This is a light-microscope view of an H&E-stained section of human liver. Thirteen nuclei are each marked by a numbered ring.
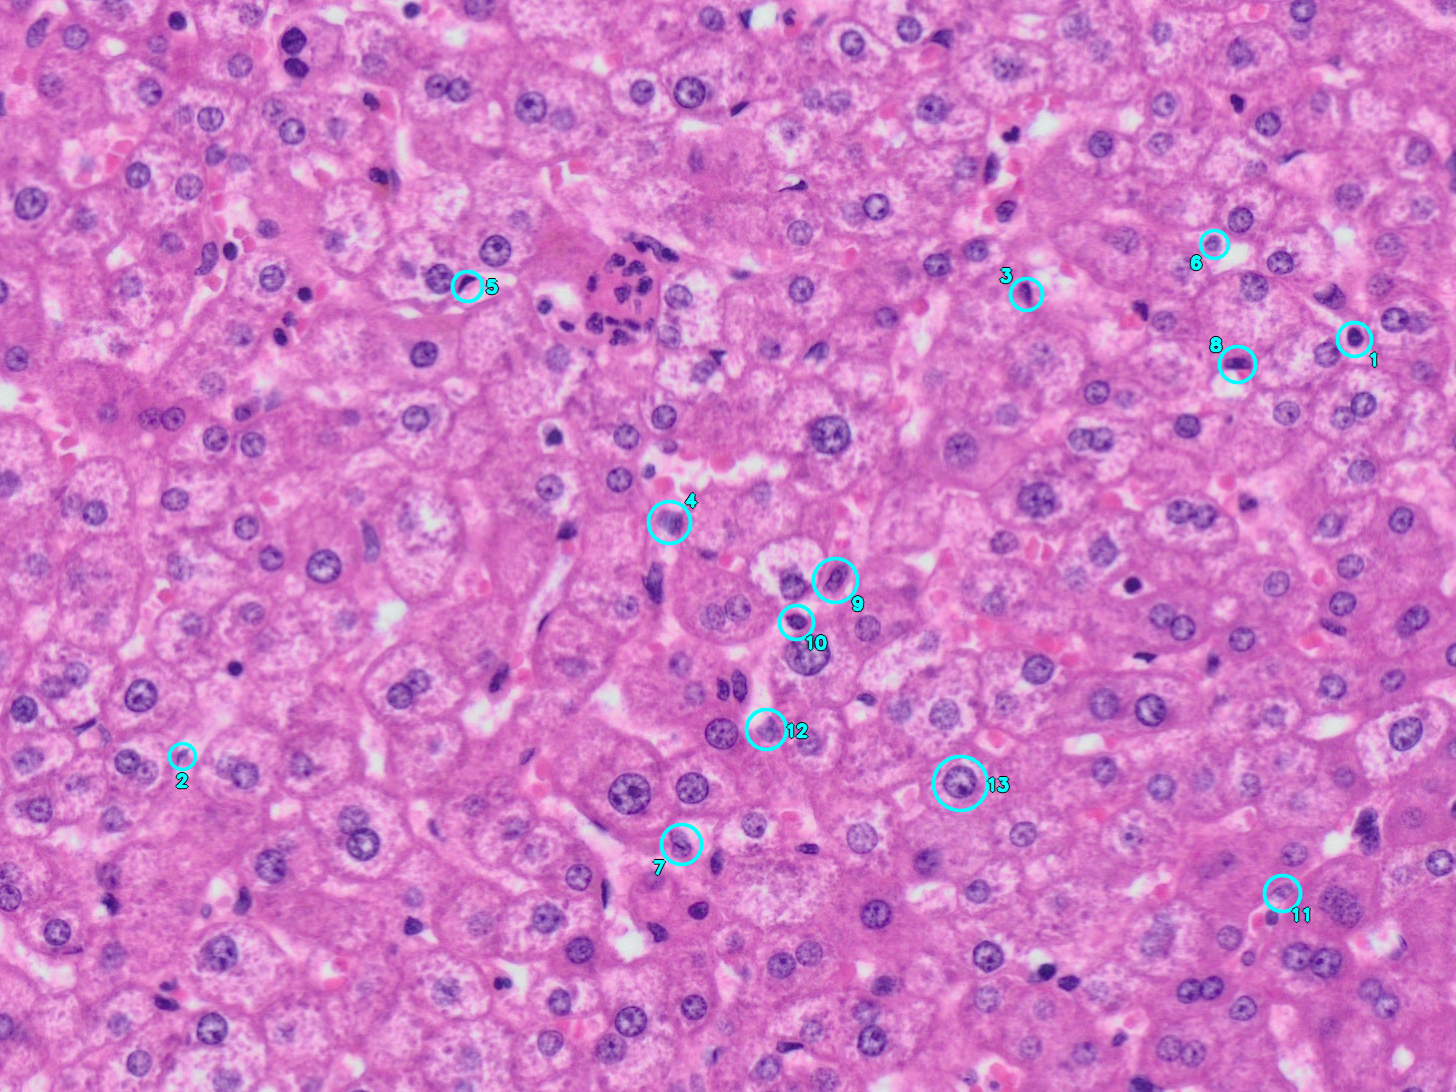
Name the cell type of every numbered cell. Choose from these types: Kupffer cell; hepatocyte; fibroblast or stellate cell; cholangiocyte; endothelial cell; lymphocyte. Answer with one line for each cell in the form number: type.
1: lymphocyte
2: endothelial cell
3: fibroblast or stellate cell
4: endothelial cell
5: endothelial cell
6: lymphocyte
7: Kupffer cell
8: fibroblast or stellate cell
9: Kupffer cell
10: lymphocyte
11: endothelial cell
12: endothelial cell
13: hepatocyte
